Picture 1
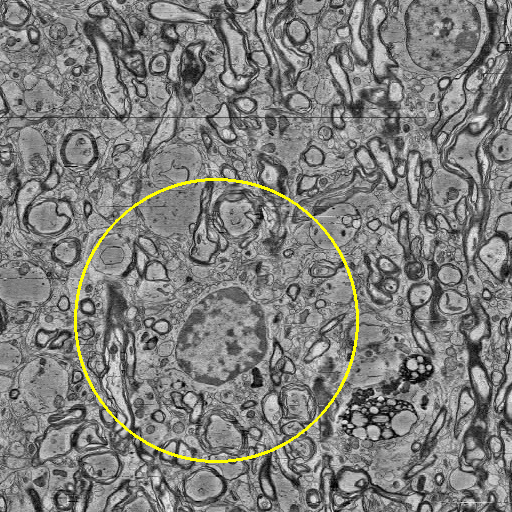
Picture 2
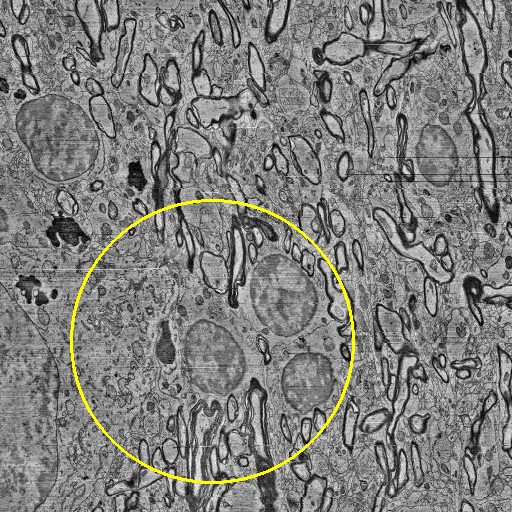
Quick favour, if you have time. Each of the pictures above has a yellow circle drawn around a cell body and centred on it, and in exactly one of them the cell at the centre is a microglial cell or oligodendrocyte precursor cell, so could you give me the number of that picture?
1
